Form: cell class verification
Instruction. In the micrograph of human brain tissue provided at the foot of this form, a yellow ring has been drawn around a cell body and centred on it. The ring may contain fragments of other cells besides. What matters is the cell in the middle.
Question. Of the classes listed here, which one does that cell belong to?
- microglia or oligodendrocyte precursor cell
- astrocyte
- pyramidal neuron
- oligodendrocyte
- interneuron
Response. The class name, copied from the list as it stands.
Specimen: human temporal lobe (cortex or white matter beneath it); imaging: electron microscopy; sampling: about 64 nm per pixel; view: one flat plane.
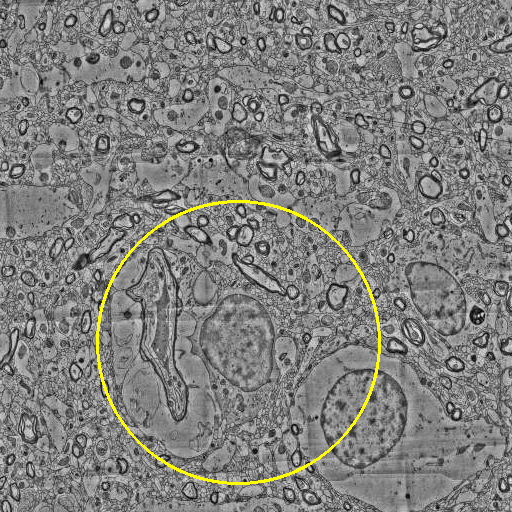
oligodendrocyte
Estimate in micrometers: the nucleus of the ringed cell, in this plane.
In this plane, approximately 6 by 5 micrometers.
